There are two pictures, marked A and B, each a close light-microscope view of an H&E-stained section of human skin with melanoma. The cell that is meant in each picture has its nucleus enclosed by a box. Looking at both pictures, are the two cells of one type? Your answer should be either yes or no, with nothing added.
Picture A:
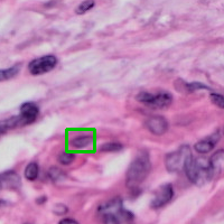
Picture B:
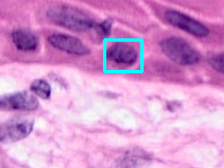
no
